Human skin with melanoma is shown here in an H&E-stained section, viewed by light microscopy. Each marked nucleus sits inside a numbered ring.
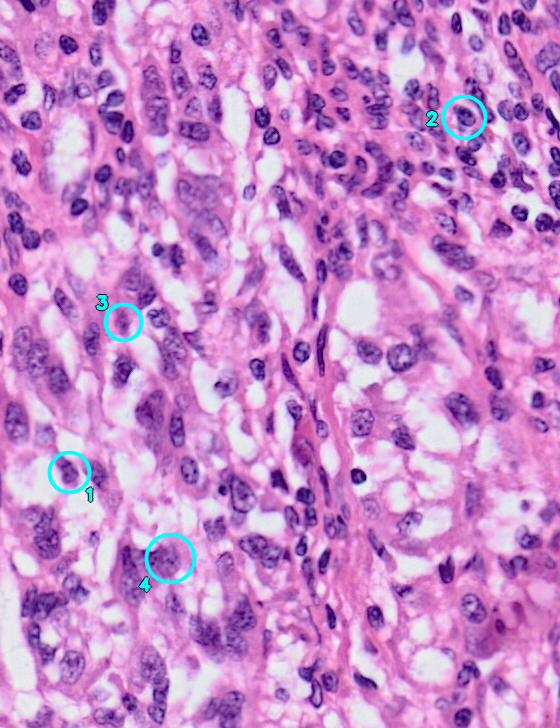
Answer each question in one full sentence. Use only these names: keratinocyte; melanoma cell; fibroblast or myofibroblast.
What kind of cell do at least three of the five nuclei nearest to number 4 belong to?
Most of the five nuclei nearest to number 4 are those of melanoma cells.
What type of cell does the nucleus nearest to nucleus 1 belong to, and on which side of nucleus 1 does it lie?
A melanoma cell lies closest, to the right of nucleus 1.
